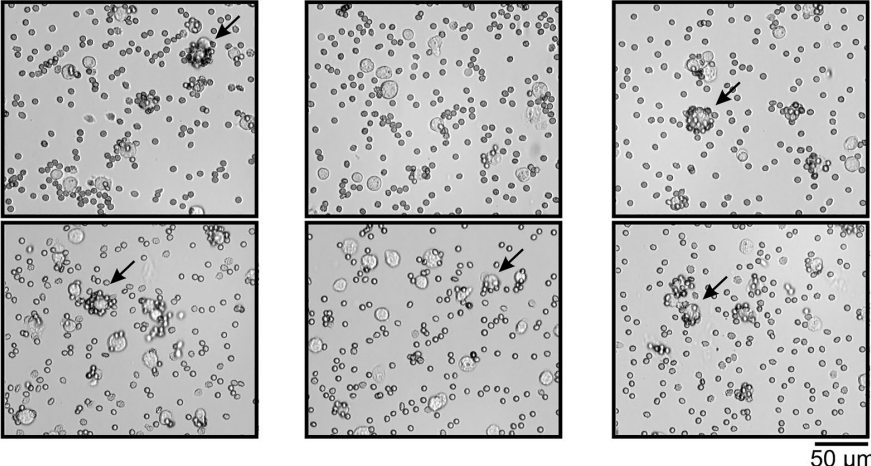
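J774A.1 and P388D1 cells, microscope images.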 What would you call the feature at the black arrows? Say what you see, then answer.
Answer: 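Rosettes. Each arrow points to a cluster of many small round cells packed around a larger cell. The clusters stand out from the single small cells scattered across the field.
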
